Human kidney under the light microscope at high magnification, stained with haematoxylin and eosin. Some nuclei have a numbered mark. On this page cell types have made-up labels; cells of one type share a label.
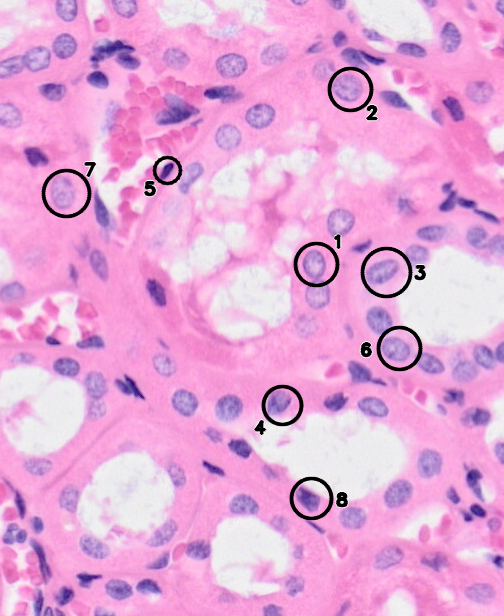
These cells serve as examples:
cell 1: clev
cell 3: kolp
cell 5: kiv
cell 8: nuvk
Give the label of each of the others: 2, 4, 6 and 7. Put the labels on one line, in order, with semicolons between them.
clev; nuvk; kolp; clev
